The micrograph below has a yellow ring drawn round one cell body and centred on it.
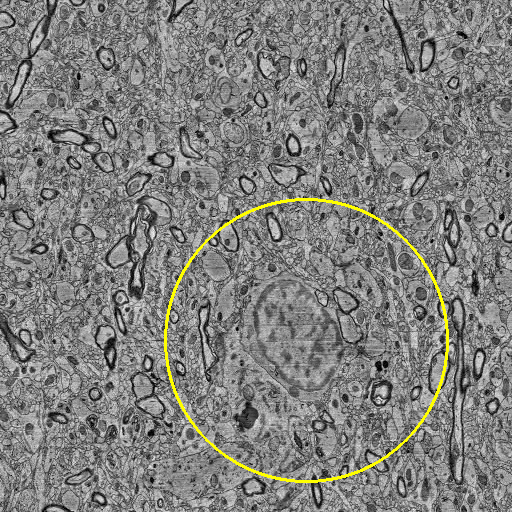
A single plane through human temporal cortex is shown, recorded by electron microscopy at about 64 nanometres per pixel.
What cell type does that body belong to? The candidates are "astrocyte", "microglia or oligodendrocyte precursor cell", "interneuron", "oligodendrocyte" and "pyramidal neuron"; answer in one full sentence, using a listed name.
This is an oligodendrocyte, the cell whose body lies at the centre of the ring.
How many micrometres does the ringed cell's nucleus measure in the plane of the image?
About 7 by 5 micrometres in this plane.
